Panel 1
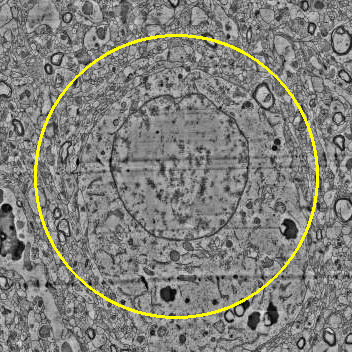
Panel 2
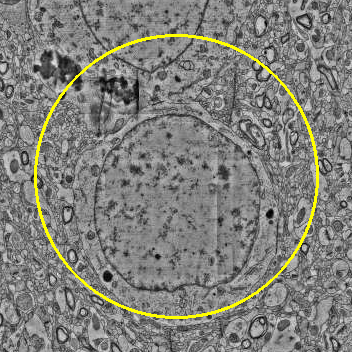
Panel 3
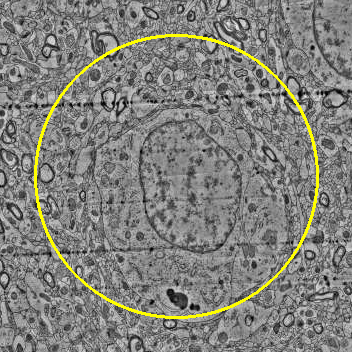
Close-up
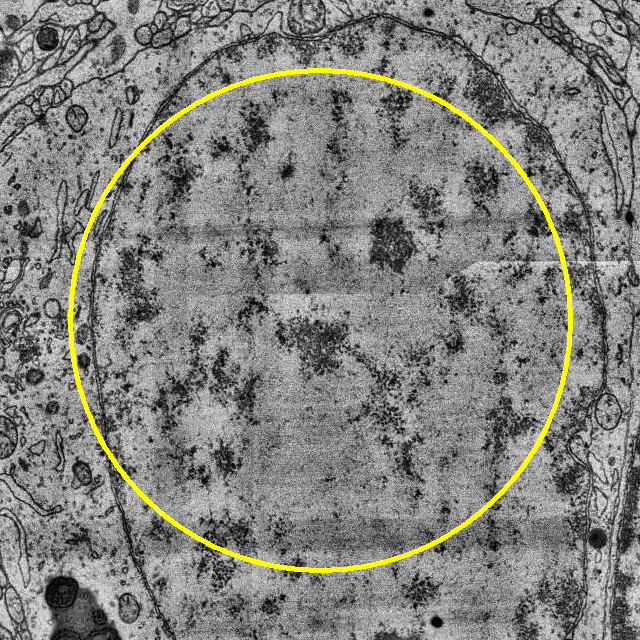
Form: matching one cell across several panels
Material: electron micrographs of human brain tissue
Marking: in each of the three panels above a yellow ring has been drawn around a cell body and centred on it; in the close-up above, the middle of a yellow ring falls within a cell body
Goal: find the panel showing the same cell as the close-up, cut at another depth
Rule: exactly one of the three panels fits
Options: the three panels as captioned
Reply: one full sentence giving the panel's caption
The cell chosen for the close-up is marked in Panel 3.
